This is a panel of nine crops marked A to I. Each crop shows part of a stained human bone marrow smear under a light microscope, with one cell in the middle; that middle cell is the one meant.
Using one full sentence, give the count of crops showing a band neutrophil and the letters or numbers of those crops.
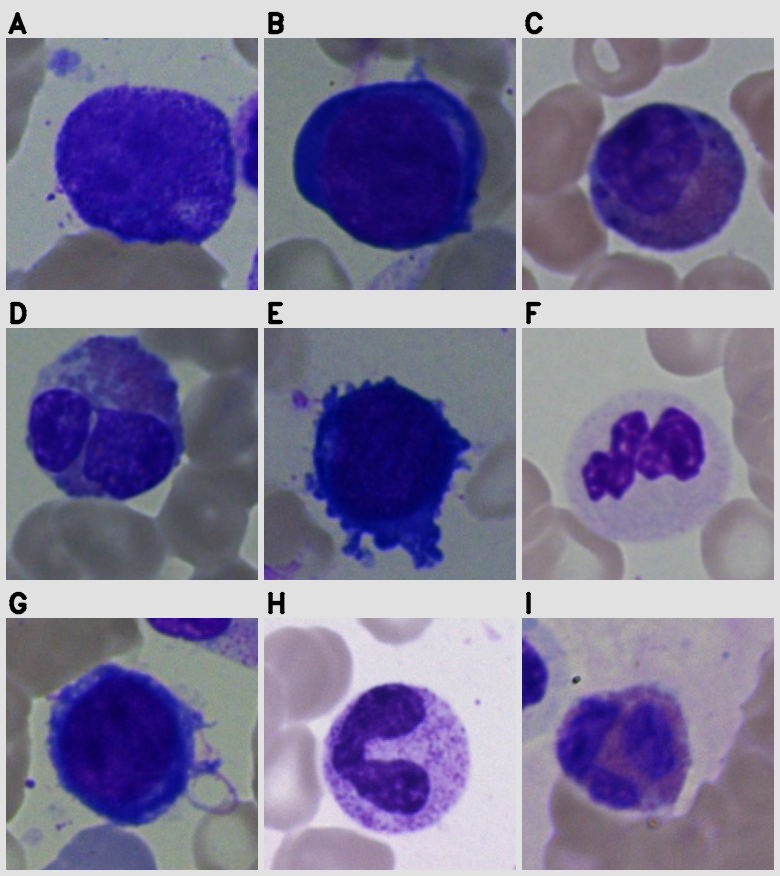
In none of the crops are band neutrophils present, so the count is zero.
